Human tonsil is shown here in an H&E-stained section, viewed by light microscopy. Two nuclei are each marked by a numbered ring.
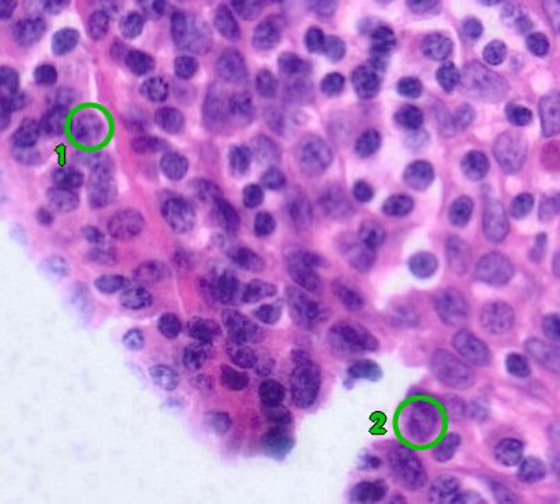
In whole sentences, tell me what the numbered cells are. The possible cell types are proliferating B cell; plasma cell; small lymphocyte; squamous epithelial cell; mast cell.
Cell 1 is a plasma cell. Cell 2 is a squamous epithelial cell.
